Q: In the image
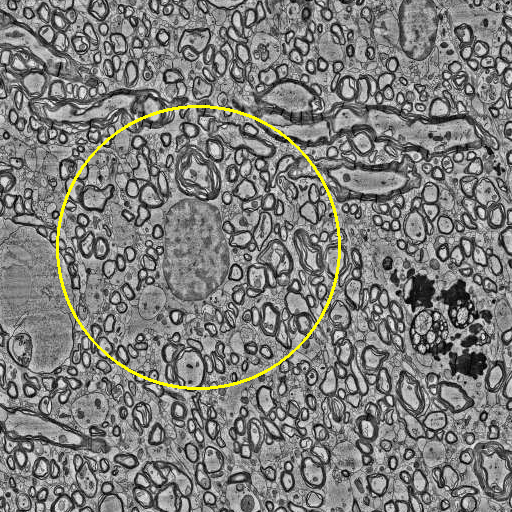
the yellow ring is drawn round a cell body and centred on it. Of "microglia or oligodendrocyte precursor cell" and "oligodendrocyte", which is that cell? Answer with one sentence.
The cell centred in the ring is an oligodendrocyte.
